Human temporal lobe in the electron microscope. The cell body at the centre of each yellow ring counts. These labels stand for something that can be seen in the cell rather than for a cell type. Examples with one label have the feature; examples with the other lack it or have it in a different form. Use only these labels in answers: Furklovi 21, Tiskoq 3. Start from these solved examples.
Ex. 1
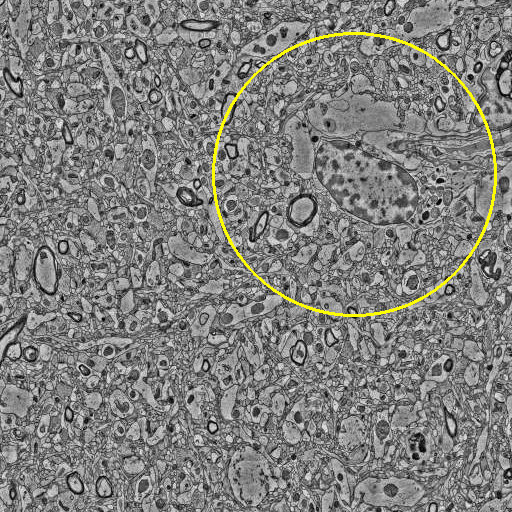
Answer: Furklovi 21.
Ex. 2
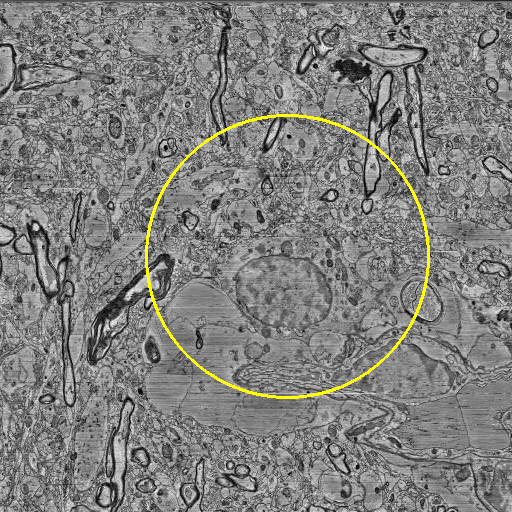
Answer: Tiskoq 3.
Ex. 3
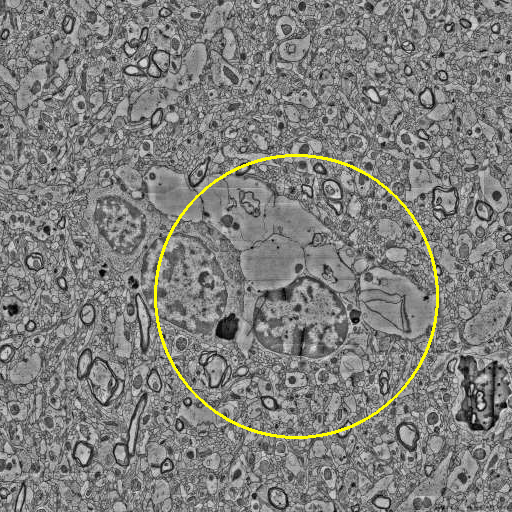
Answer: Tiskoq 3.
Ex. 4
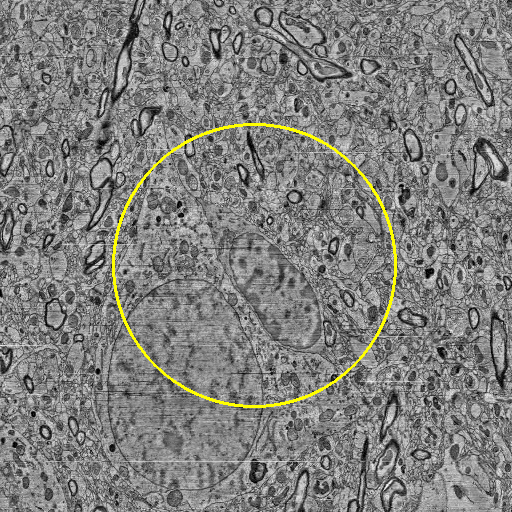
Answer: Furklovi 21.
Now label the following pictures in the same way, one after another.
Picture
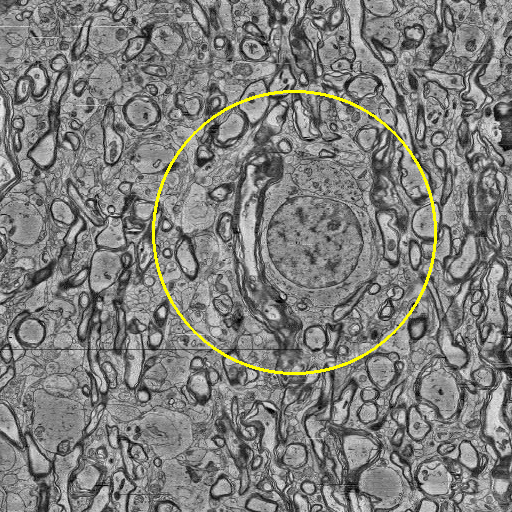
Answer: Tiskoq 3.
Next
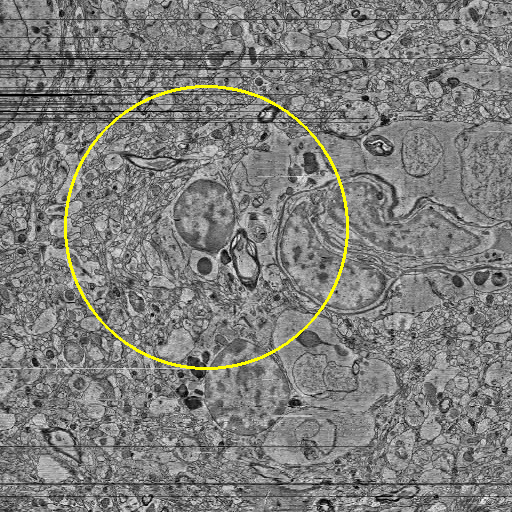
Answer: Tiskoq 3.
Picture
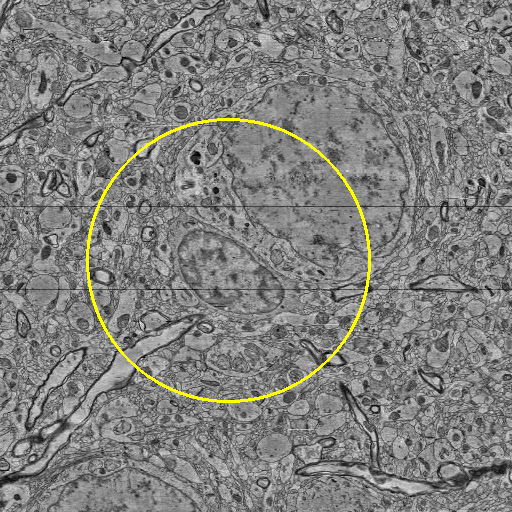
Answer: Furklovi 21.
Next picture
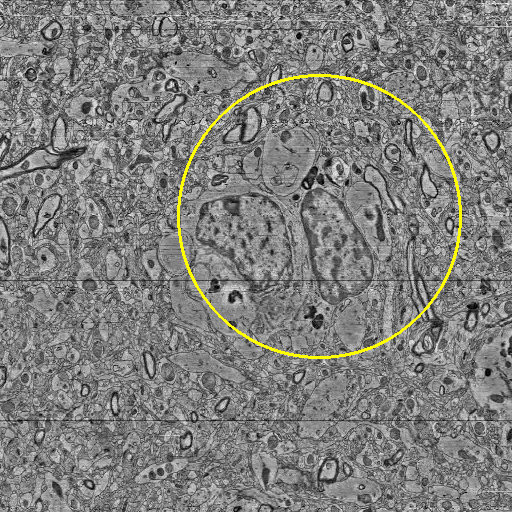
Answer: Furklovi 21.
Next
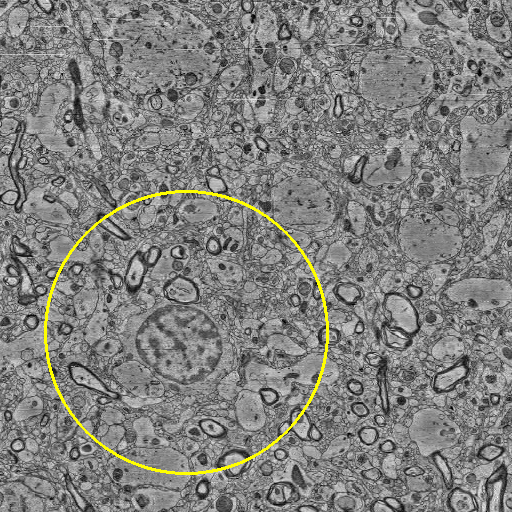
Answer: Tiskoq 3.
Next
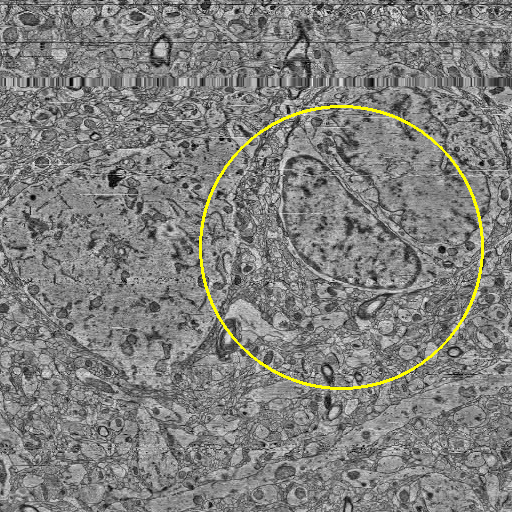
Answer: Furklovi 21.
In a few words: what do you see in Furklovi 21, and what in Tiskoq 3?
In Furklovi 21: clearly elongated nuclei. In Tiskoq 3: round or nearly round nuclei.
